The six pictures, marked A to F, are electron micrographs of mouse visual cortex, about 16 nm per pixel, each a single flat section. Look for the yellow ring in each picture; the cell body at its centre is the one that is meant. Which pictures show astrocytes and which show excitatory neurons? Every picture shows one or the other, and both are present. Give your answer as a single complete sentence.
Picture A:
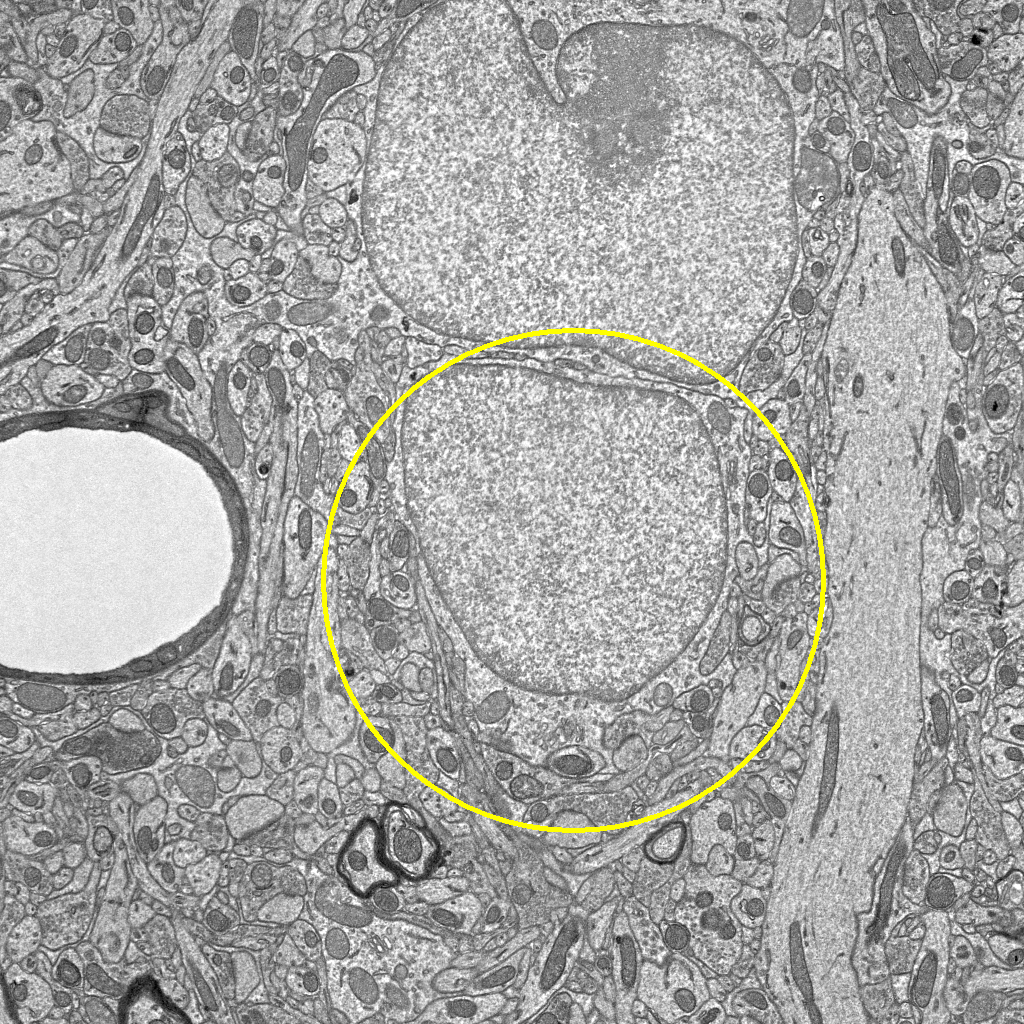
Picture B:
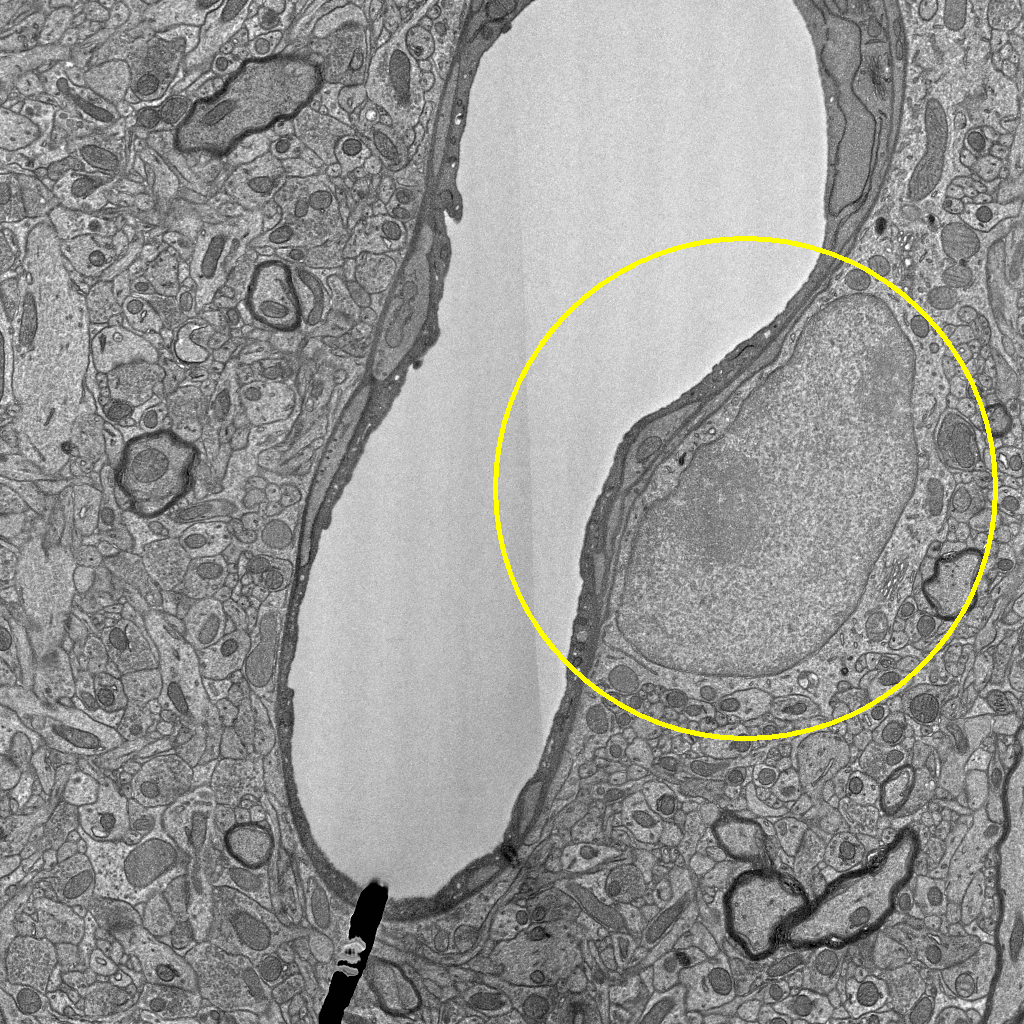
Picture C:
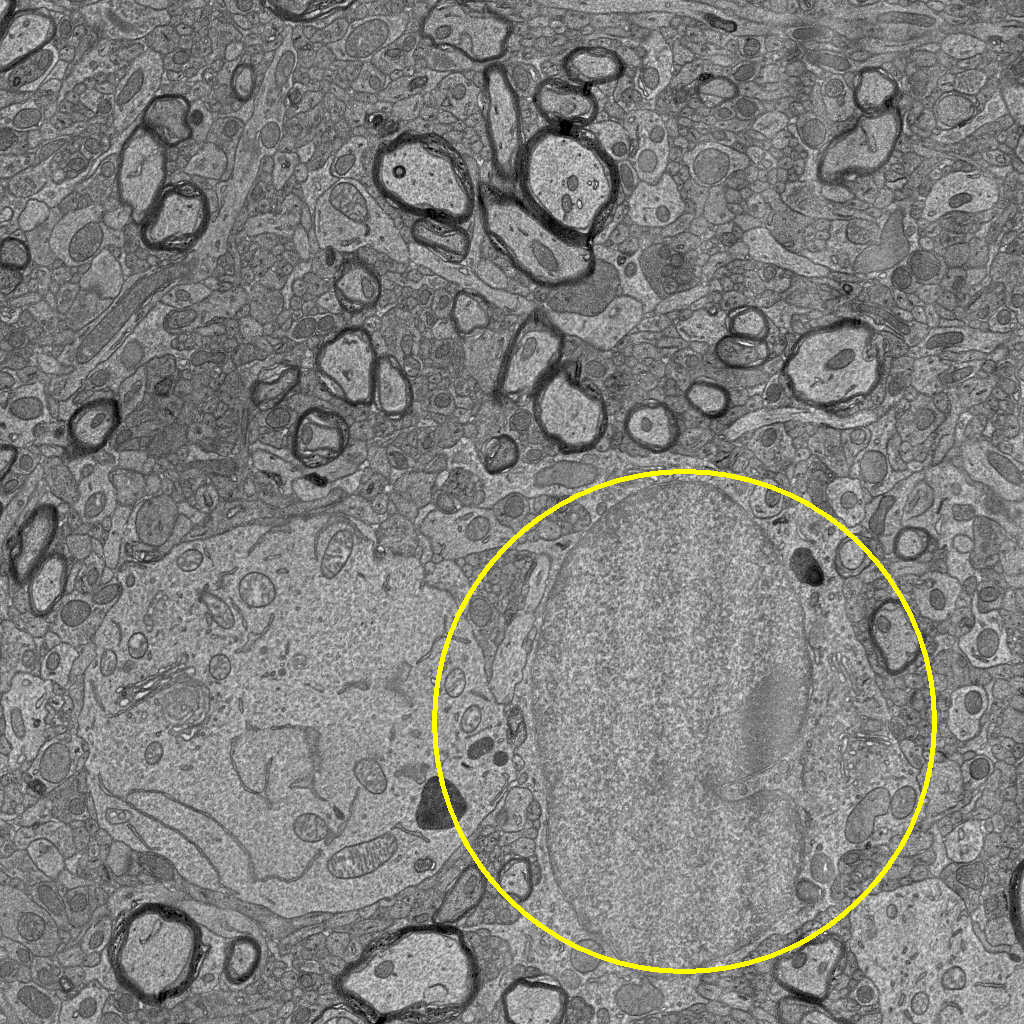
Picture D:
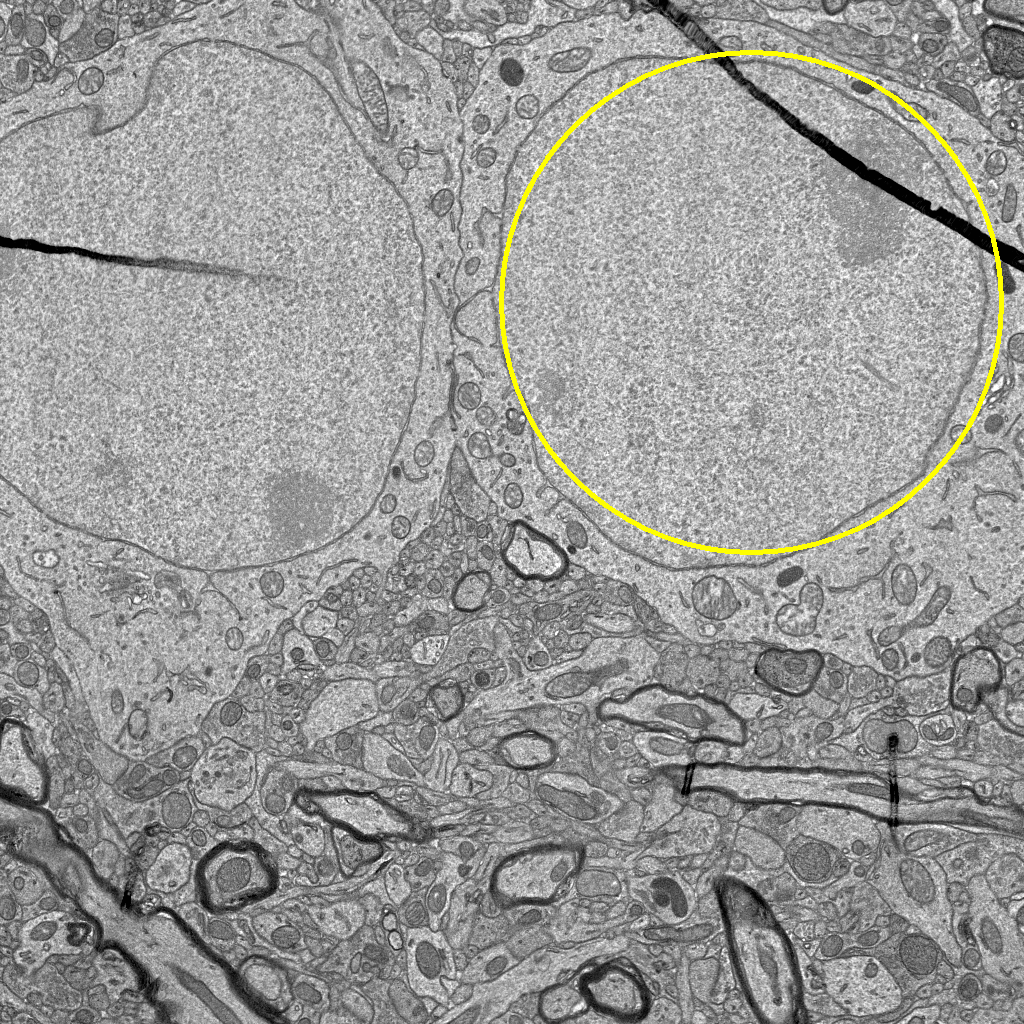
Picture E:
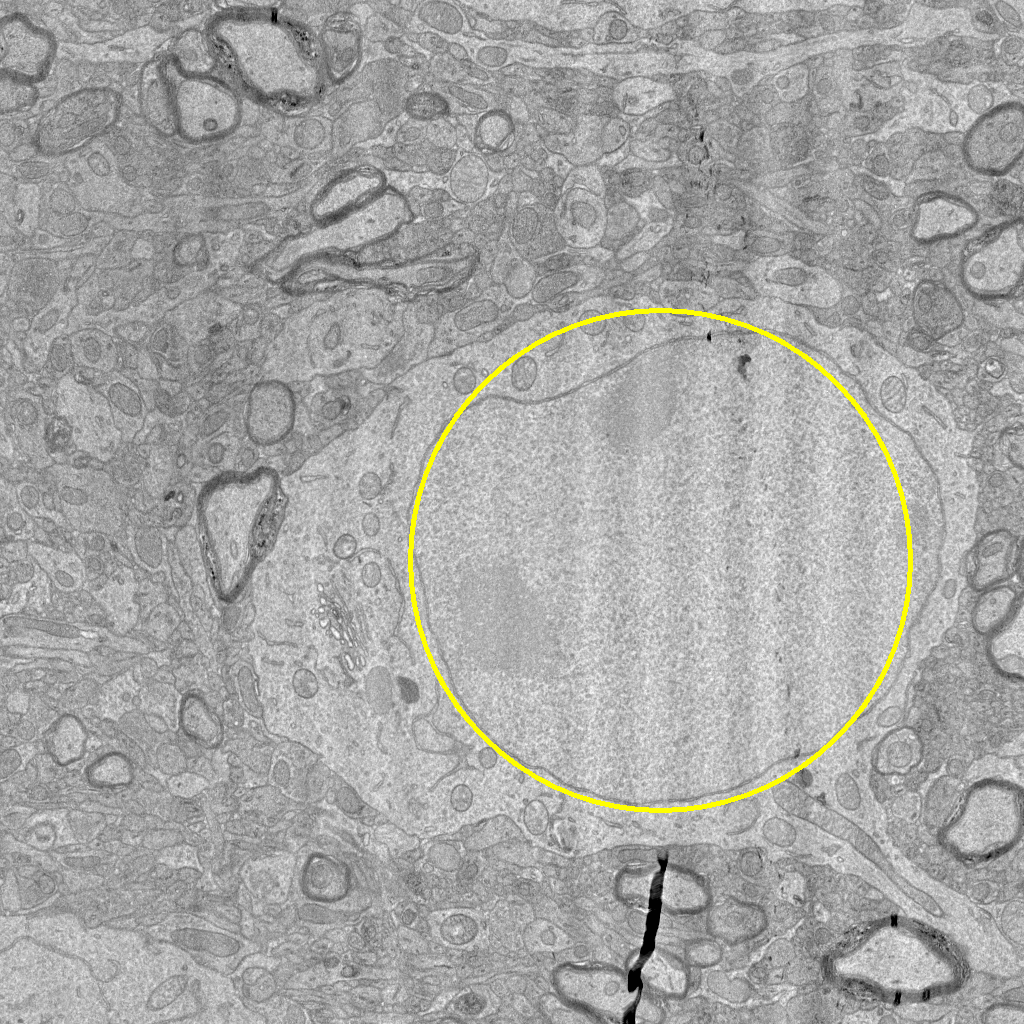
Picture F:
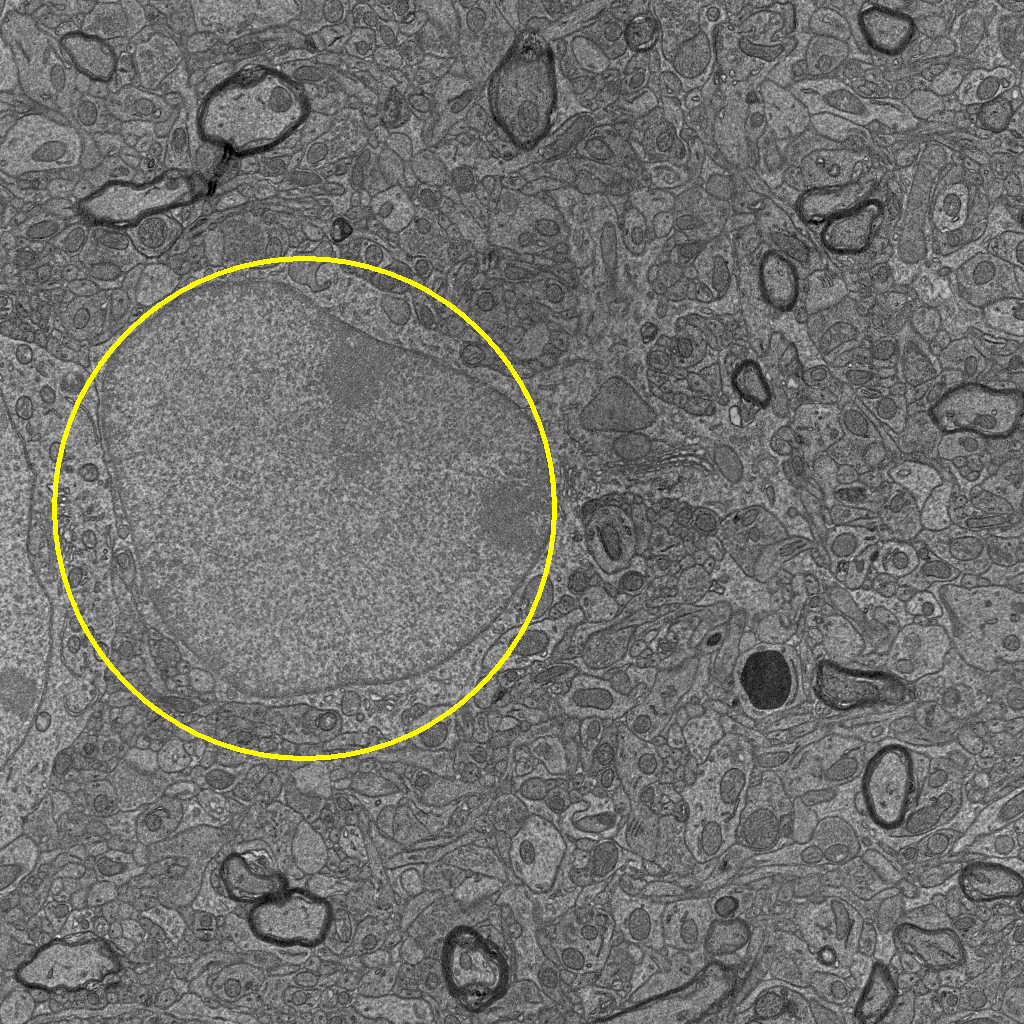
Pictures A, B, C and F show astrocytes, while pictures D and E show excitatory neurons.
